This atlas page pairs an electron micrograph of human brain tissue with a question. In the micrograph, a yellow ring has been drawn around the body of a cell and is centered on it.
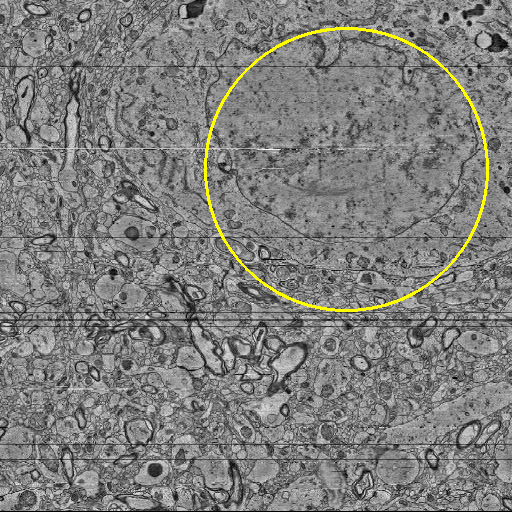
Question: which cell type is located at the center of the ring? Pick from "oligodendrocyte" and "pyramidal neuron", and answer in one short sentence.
Located at the center of the ring is a pyramidal neuron.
